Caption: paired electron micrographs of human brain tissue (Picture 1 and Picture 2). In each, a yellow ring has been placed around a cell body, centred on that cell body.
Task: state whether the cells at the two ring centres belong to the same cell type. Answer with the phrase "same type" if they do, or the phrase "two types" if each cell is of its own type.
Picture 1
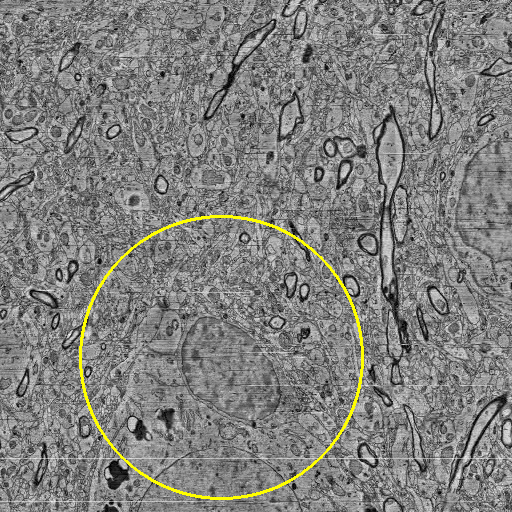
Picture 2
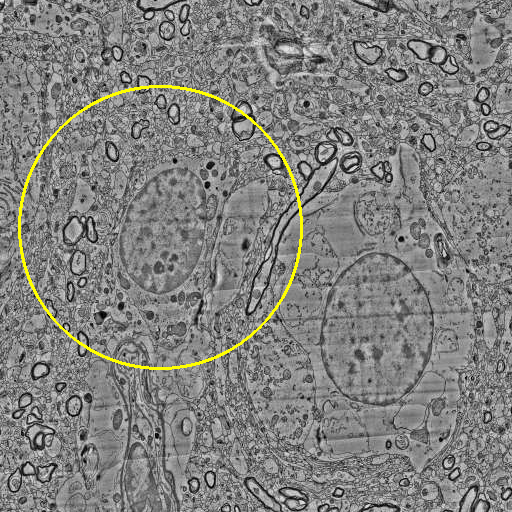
same type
